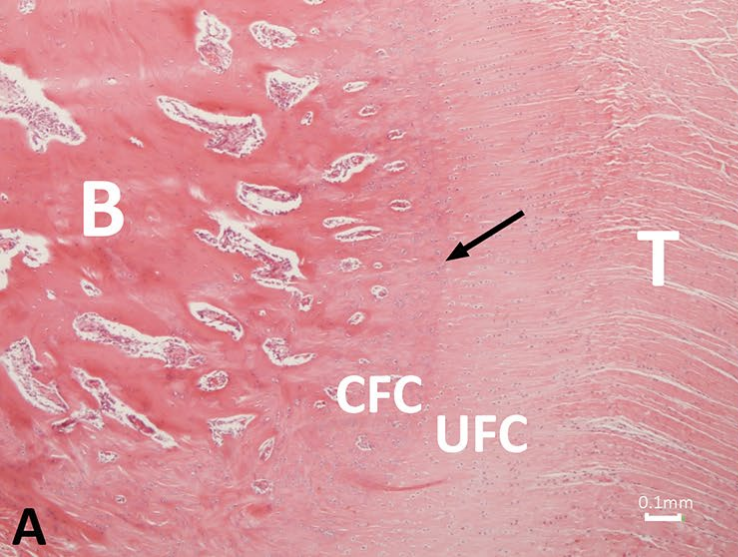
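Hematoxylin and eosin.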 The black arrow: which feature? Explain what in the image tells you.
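The arrow points at a line where the pink matrix changes tone. The line separates a deeper-pink zone near the bone from a paler zone toward the tendon.
Tidemark.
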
